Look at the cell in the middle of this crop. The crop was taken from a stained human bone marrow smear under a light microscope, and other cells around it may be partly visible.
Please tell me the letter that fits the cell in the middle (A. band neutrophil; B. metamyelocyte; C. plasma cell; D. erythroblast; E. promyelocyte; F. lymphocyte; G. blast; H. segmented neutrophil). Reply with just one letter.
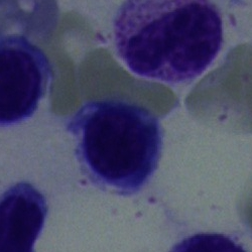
F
